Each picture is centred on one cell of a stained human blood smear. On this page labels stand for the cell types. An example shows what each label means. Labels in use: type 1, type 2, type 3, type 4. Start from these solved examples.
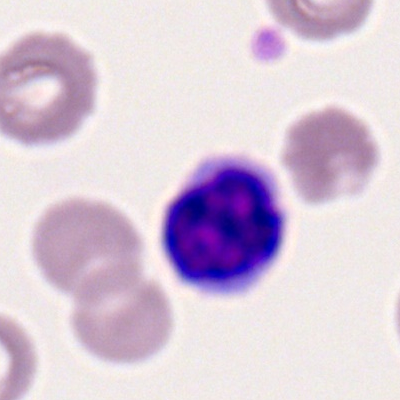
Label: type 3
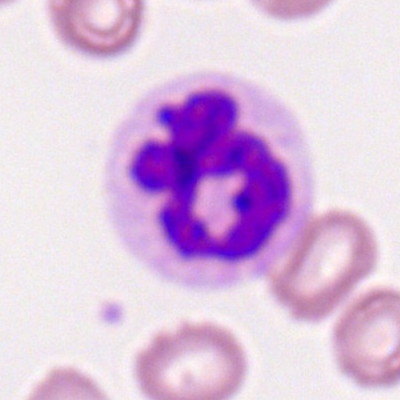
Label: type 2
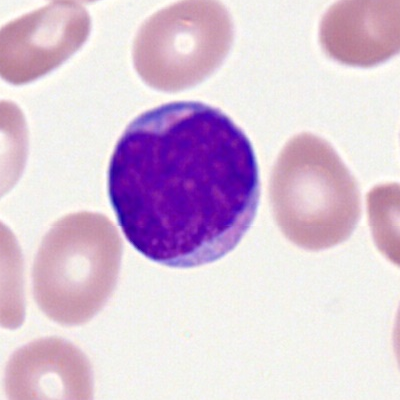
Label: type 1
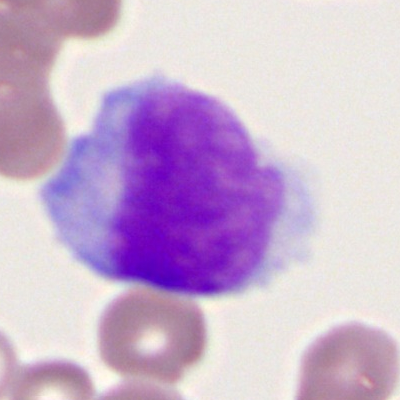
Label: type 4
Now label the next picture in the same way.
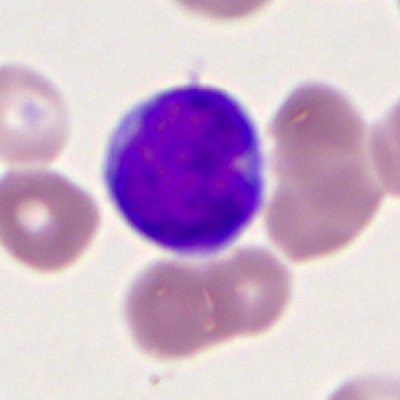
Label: type 1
